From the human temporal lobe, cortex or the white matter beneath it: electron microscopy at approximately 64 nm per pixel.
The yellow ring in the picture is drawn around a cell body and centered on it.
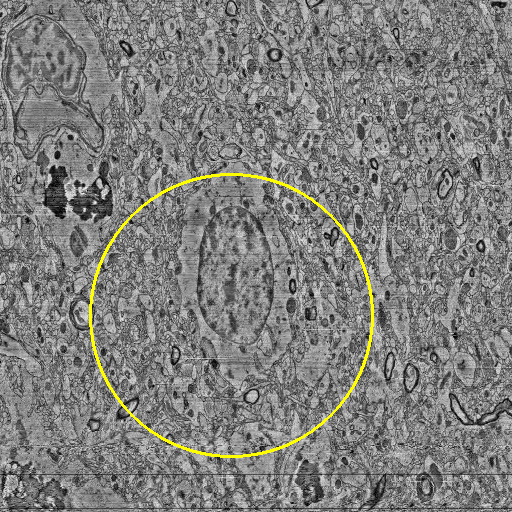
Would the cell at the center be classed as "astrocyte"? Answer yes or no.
Yes, it belongs to that class.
